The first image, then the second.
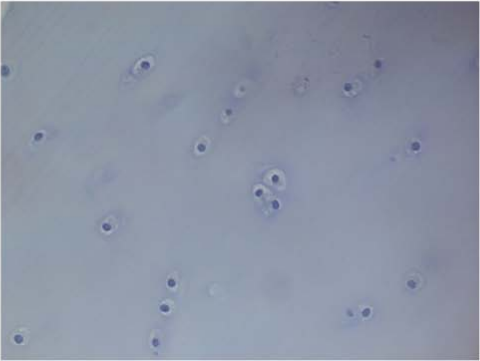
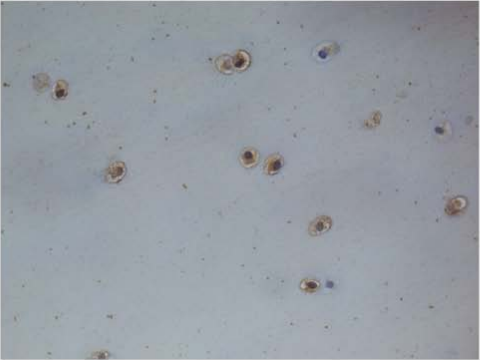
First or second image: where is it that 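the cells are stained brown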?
The second image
